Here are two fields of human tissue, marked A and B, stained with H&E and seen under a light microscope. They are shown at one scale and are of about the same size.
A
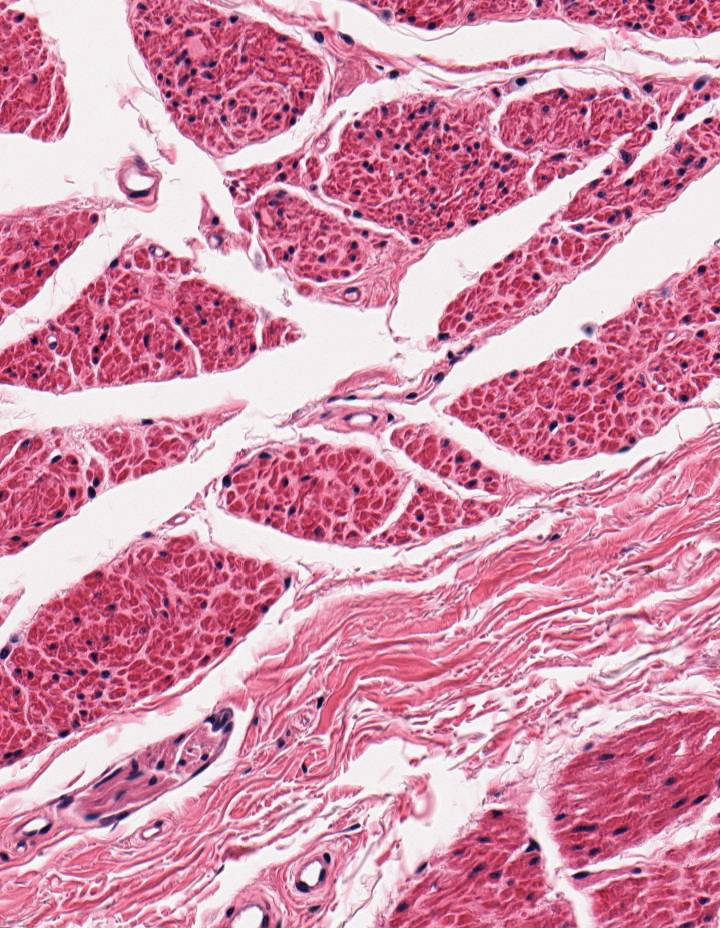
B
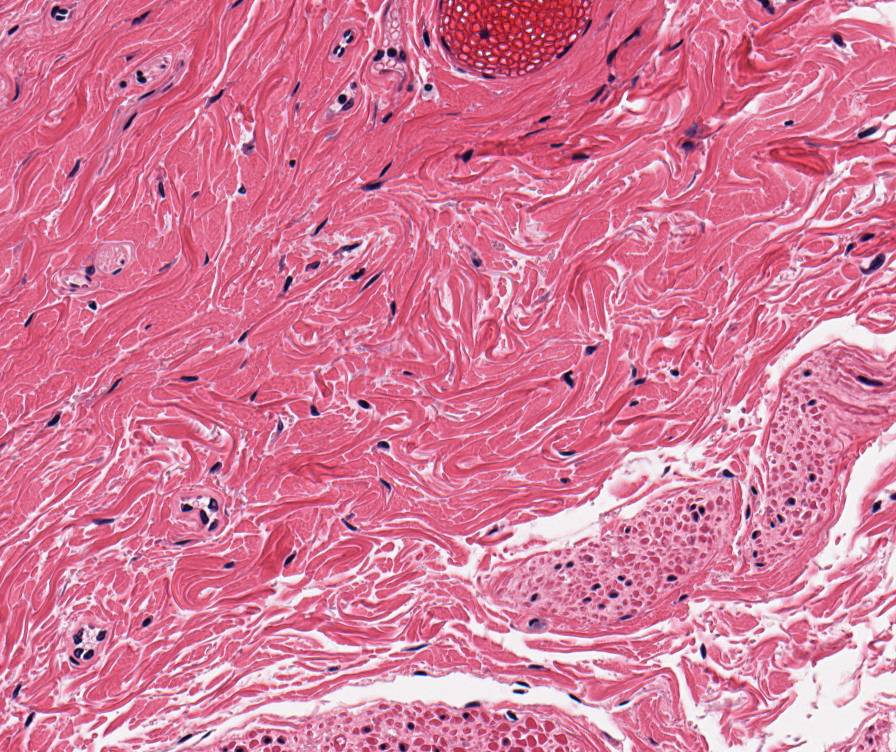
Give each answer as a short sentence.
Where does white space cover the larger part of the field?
Unstained space takes up more of picture A than of picture B.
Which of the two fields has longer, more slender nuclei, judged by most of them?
It is picture B whose nuclei are the more elongated.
